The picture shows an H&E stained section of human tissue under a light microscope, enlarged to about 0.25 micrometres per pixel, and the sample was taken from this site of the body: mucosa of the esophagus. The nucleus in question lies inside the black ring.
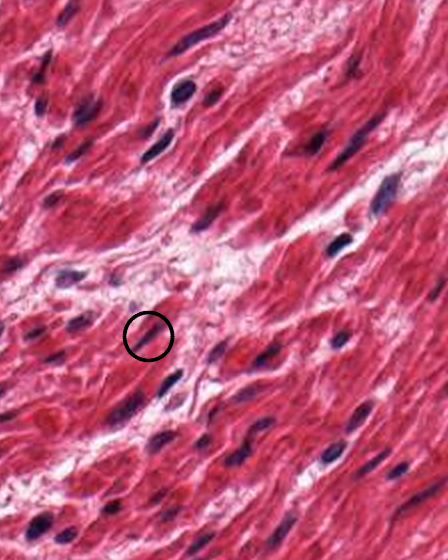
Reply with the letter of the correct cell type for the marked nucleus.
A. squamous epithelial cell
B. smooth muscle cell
B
